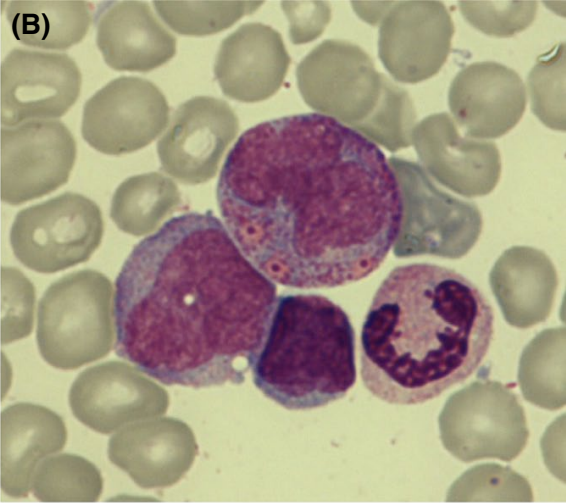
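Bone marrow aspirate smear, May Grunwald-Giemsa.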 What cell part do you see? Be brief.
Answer: pseudo‐Chediak‐Higashi granules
